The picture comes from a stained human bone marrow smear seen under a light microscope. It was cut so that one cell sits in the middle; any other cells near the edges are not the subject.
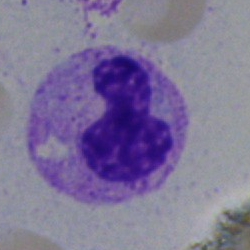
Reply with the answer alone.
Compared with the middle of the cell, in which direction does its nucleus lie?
right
